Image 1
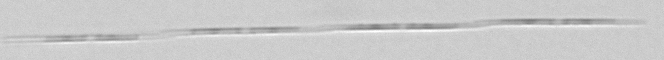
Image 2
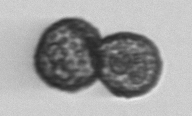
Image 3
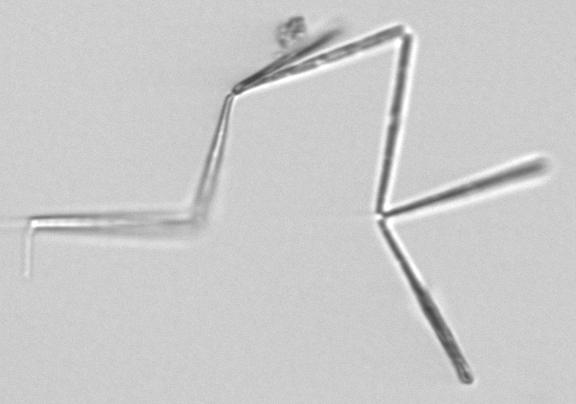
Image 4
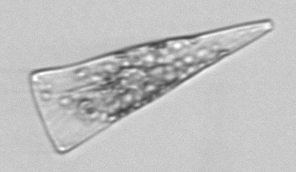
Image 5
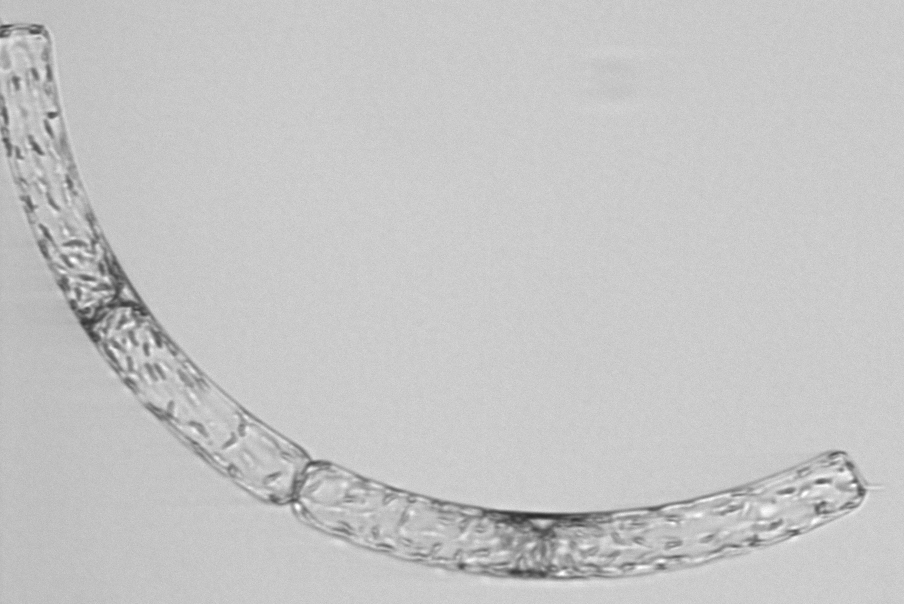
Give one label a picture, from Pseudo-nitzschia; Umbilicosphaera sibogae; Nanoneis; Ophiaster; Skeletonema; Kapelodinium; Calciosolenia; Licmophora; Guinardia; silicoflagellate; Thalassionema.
Picture 1: Pseudo-nitzschia
Picture 2: Umbilicosphaera sibogae
Picture 3: Thalassionema
Picture 4: Licmophora
Picture 5: Guinardia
